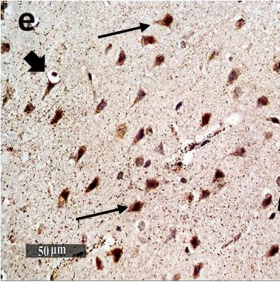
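This is cerebral cortex with scattered neurons and smaller glial cells set in a pale, finely dotted neuropil. Many neuronal cell bodies are stained dark brown and have angular, often triangular outlines, with short brown processes leaving them. Between them lie a few small, dark, compact cells, some beside small clear rounded spaces. The background neuropil carries fine brown granules throughout.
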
